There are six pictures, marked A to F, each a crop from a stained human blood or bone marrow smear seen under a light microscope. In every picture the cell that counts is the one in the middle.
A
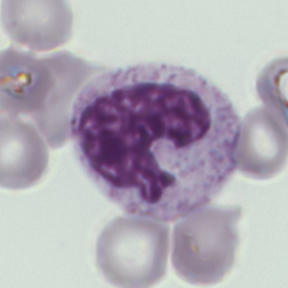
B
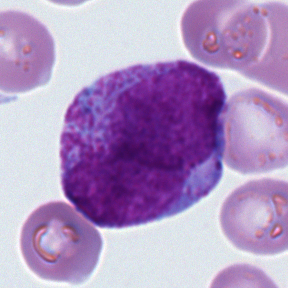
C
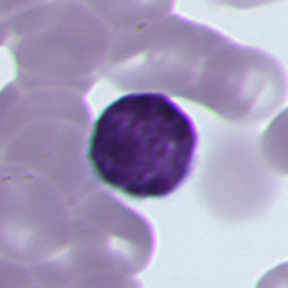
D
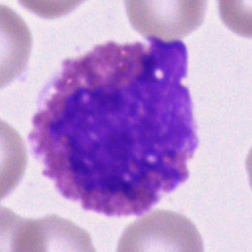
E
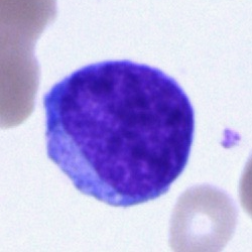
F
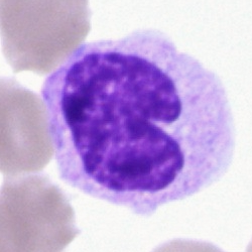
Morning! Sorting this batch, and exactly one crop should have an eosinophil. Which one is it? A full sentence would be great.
The one crop that shows an eosinophil is crop D.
